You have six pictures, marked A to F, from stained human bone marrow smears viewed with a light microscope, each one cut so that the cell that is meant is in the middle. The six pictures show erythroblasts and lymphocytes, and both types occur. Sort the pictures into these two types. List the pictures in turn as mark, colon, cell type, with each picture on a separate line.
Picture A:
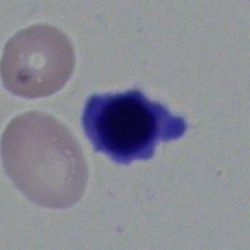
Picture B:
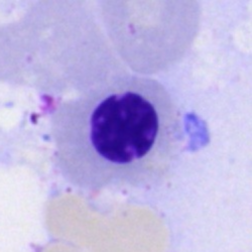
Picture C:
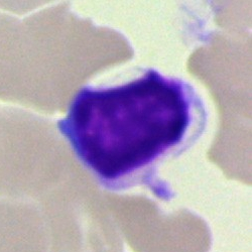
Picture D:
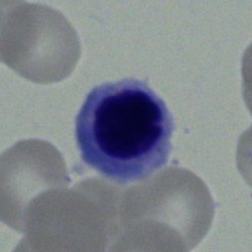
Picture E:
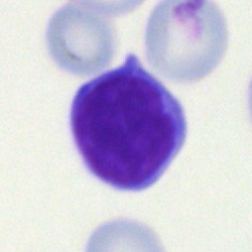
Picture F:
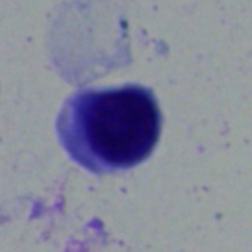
A: erythroblast
B: erythroblast
C: lymphocyte
D: erythroblast
E: lymphocyte
F: erythroblast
